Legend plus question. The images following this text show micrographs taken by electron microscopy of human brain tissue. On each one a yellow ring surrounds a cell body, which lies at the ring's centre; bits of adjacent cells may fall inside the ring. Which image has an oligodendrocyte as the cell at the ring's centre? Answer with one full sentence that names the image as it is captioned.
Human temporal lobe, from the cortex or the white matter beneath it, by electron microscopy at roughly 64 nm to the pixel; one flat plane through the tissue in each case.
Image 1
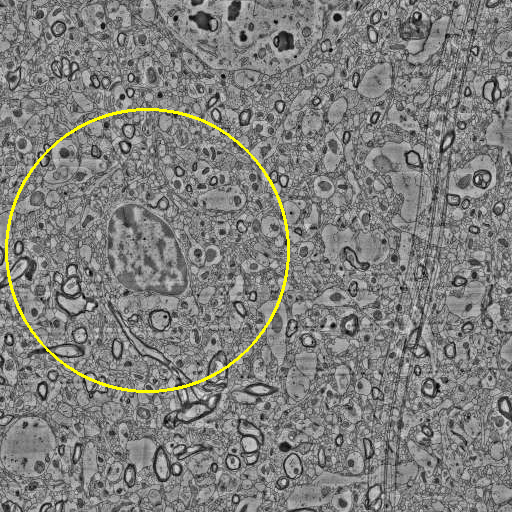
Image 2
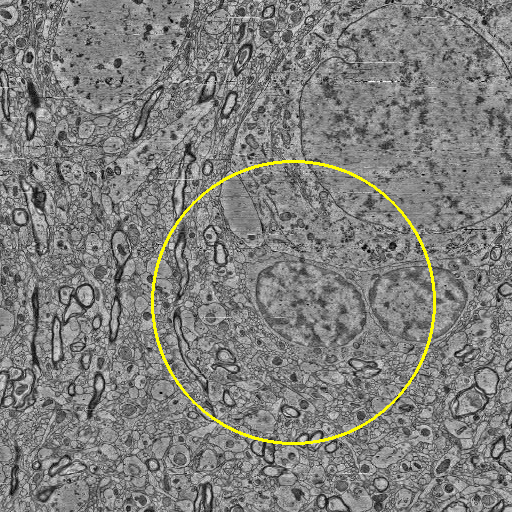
The centred cell that was asked for is the one in Image 2.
